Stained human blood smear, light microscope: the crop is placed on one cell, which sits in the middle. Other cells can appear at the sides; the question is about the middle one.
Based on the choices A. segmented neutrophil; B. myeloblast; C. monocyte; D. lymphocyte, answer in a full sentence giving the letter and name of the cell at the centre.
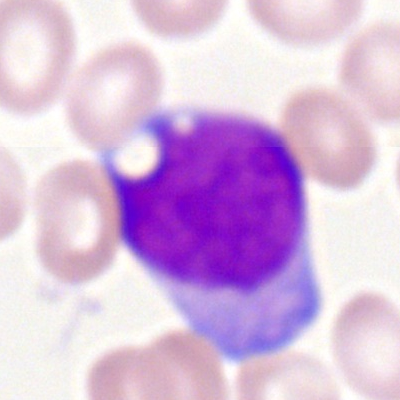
The expected answer is option B, the central cell being a myeloblast.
